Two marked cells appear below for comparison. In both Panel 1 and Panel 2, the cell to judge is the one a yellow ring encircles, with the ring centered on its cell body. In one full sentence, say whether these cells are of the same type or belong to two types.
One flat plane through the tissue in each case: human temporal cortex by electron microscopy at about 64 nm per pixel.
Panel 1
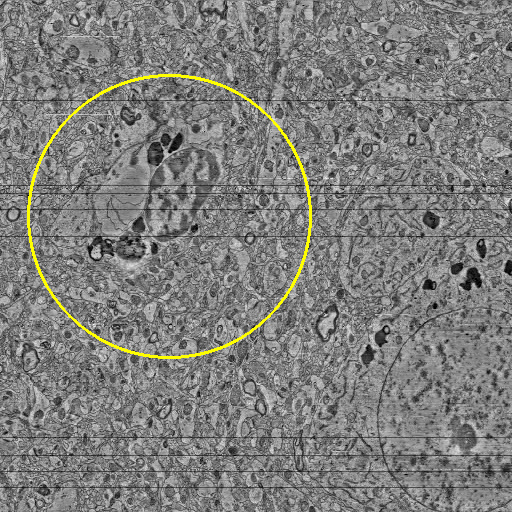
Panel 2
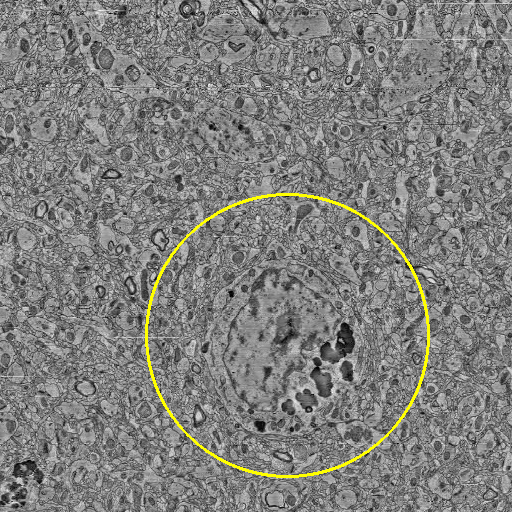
The cell centered in the Panel 1 ring and the one in Panel 2 belong to two types.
